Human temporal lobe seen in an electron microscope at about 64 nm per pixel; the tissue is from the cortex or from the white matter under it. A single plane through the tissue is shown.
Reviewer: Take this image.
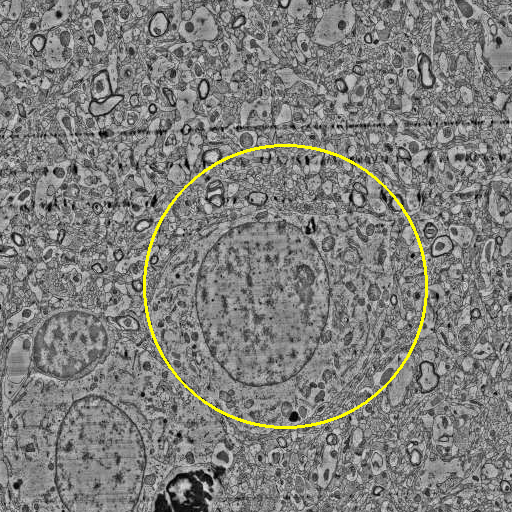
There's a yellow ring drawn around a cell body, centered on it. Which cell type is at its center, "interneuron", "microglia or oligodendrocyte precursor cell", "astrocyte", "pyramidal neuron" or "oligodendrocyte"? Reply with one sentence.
At the center of the yellow ring is an interneuron.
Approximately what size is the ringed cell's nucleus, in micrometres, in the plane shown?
Roughly 11 by 9 micrometres is the size of the nucleus in this plane.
